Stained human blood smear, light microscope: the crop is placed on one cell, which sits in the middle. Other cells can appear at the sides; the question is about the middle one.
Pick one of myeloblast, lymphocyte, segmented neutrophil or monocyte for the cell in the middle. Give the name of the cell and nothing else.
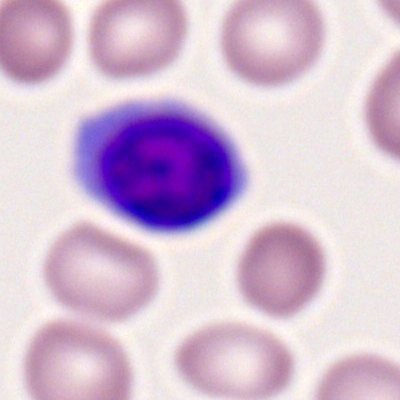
lymphocyte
